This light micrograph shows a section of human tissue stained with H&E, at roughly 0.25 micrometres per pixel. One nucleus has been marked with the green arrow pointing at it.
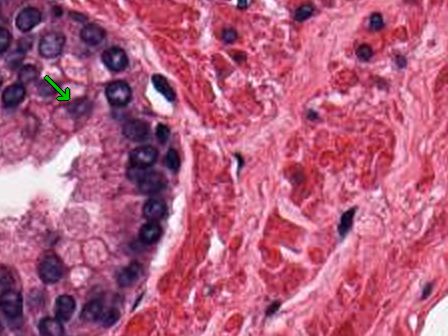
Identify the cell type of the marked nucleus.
prostate gland luminal cell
